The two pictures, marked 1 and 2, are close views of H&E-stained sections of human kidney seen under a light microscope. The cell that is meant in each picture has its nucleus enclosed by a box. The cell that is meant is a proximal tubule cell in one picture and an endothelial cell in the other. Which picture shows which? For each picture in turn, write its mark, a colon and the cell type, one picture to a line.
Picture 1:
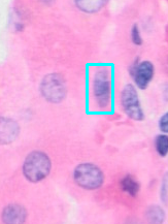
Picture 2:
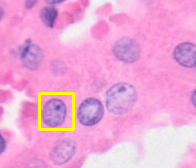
1: endothelial cell
2: proximal tubule cell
